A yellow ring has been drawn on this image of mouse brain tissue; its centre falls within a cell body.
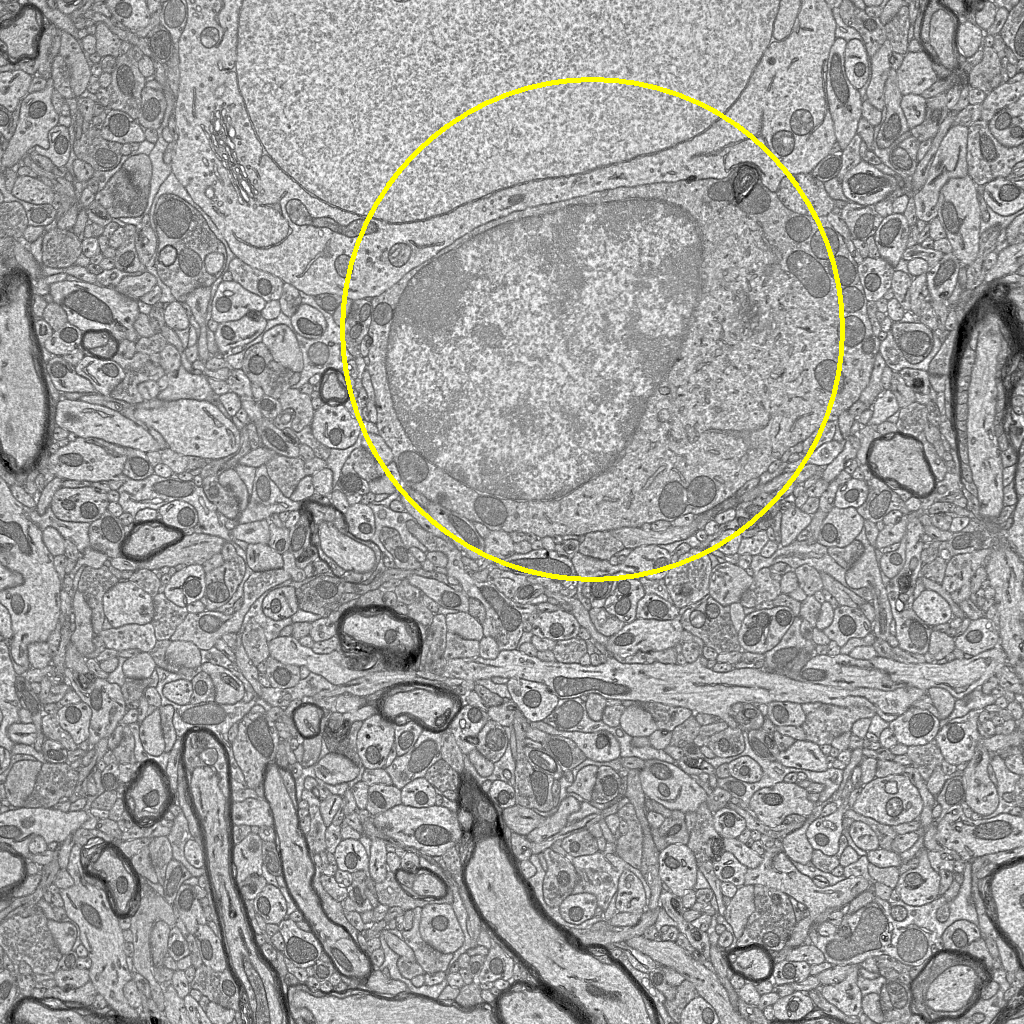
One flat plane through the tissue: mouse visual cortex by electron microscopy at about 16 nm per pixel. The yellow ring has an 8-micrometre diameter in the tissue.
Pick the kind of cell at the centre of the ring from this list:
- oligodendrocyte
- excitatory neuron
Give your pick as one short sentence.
The centre of the ring holds an oligodendrocyte.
